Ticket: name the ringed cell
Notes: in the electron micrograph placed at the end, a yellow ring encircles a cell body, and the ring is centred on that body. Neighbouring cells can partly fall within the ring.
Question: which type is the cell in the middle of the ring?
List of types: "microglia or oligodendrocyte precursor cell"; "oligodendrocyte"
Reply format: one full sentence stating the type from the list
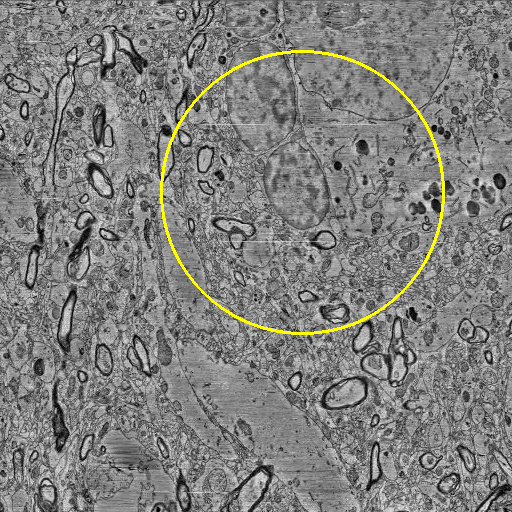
The cell sitting at the centre of the yellow ring is an oligodendrocyte.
